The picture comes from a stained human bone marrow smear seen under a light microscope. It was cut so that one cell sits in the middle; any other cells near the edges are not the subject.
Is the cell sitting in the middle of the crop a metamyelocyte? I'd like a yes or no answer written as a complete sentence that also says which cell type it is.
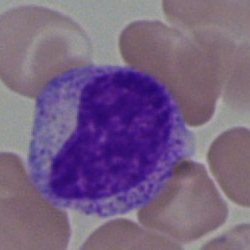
Yes, the centre of the crop holds a metamyelocyte.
